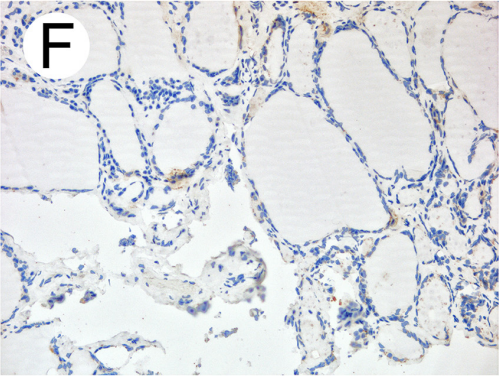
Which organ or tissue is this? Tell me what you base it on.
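Round follicles of varying size filled with pale homogeneous material. Follicles lined by a single layer of flattened cells with blue nuclei. Almost no brown stain. So: normal thyroid tissue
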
